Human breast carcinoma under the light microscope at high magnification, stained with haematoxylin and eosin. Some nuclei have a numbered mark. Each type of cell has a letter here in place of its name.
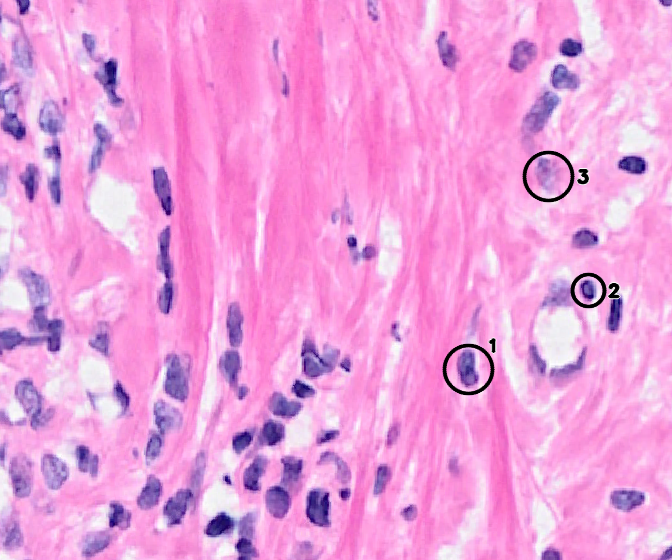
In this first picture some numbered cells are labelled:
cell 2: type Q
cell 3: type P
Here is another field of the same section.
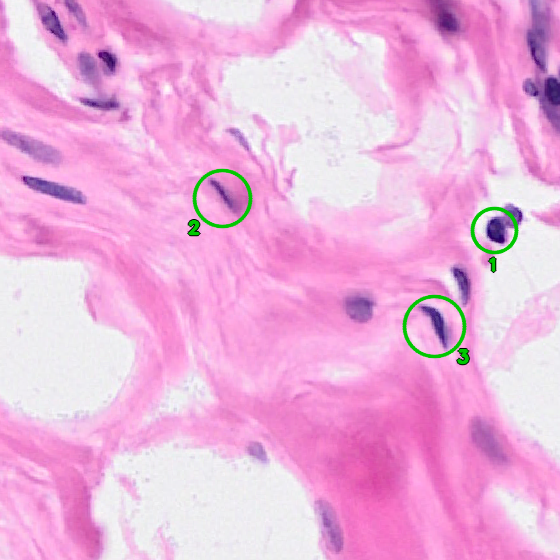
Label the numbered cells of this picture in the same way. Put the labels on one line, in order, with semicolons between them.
type Q; type P; type P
